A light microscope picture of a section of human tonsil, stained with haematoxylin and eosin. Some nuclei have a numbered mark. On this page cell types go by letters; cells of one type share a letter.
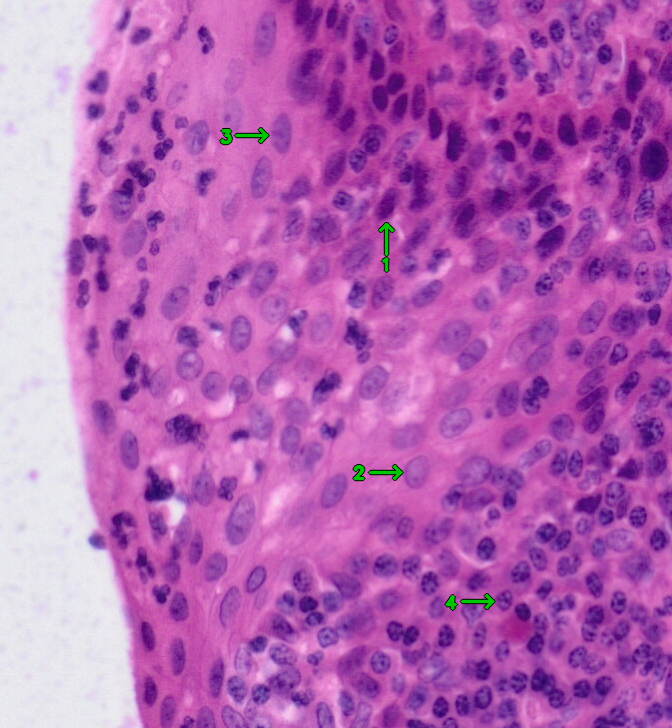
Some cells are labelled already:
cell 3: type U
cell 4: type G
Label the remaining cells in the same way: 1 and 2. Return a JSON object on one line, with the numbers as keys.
{"1": "type U", "2": "type U"}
